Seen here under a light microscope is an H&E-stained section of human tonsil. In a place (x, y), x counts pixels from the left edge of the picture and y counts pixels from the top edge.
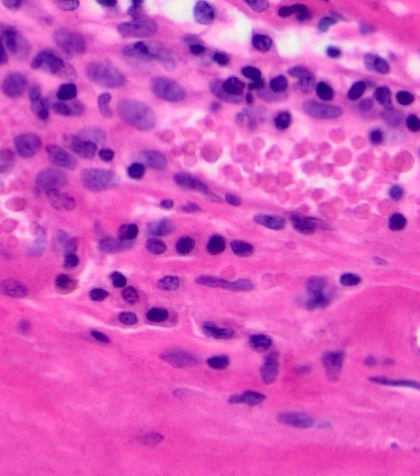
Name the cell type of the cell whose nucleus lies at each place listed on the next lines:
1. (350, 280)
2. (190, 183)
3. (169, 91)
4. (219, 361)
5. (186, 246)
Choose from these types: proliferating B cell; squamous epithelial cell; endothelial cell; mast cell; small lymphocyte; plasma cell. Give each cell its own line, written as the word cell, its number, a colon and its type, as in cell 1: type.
cell 1: mast cell
cell 2: endothelial cell
cell 3: endothelial cell
cell 4: mast cell
cell 5: plasma cell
